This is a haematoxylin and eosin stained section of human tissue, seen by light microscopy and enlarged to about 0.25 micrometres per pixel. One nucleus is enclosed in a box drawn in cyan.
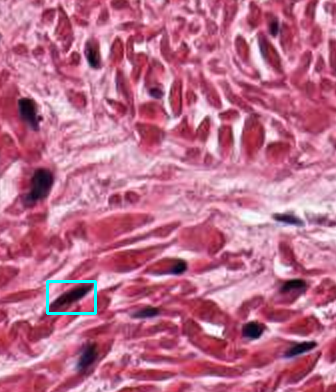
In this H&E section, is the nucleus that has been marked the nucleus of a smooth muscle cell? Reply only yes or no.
yes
